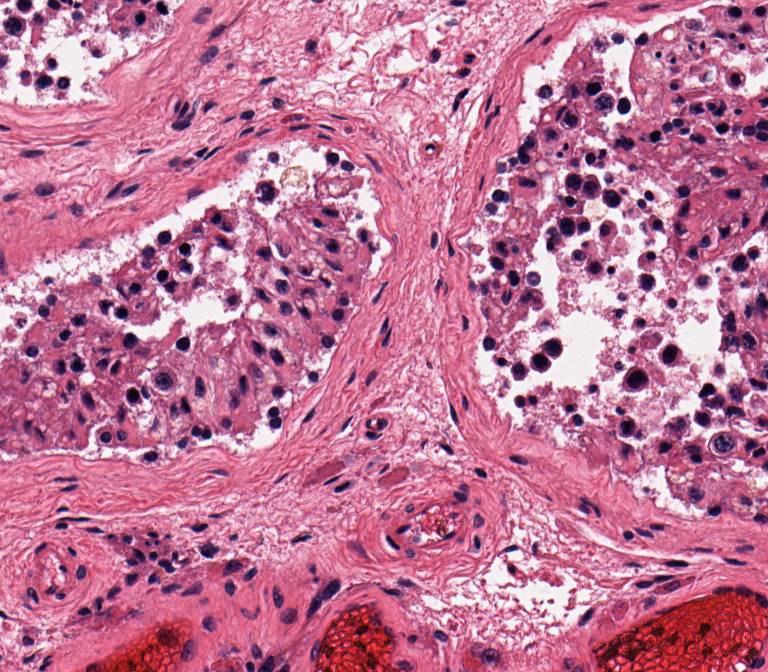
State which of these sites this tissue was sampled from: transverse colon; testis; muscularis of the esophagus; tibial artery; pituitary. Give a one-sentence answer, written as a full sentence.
Taken from the testis, this tissue forms the section.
